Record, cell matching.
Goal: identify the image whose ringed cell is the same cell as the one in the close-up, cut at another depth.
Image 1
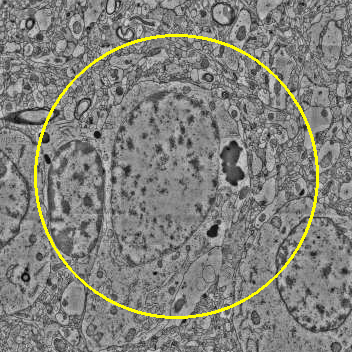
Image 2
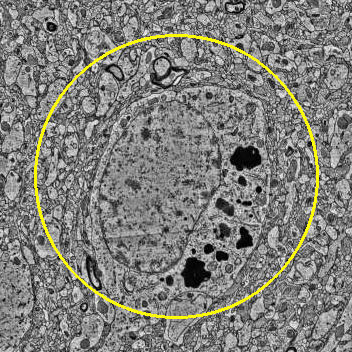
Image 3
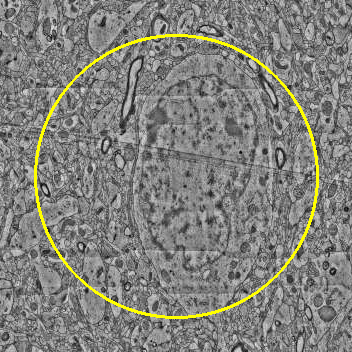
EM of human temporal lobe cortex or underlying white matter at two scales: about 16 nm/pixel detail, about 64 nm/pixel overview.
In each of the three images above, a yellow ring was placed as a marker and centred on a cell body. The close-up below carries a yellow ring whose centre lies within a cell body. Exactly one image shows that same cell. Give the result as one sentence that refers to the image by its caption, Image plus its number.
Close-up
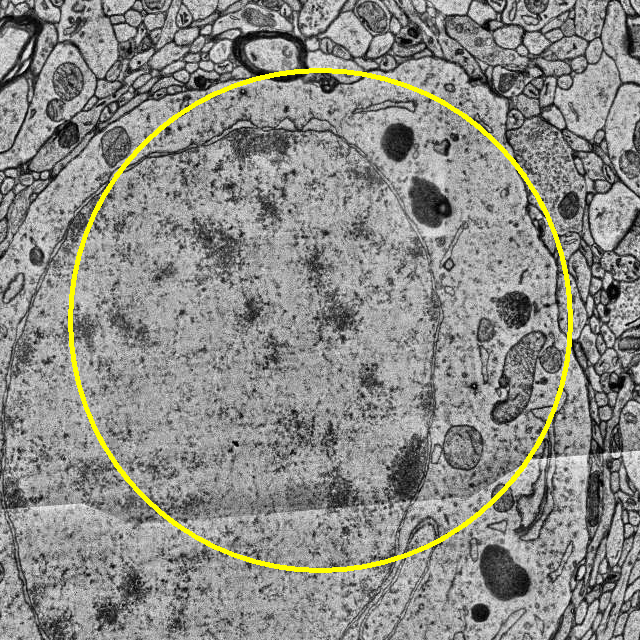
The encircled cell in Image 2 is the cell in the close-up.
